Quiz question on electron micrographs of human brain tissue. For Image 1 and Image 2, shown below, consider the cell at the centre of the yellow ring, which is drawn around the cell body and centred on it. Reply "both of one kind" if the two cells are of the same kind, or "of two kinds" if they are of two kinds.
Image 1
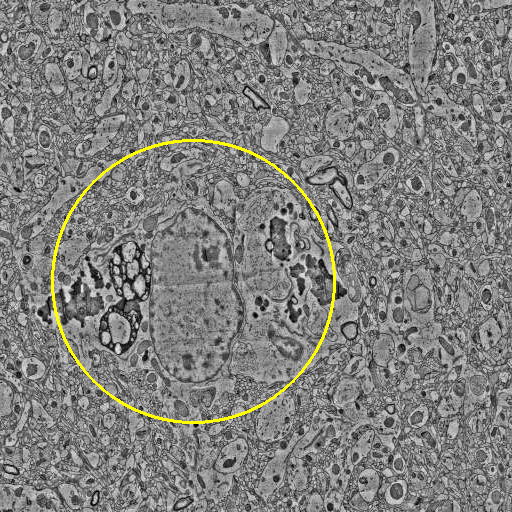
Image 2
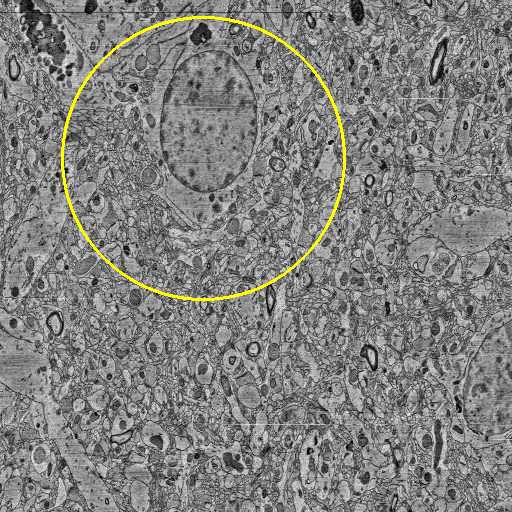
both of one kind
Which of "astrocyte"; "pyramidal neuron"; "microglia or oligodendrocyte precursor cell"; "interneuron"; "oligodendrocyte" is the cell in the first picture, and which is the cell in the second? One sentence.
Each of the ringed cells, first and second, is an astrocyte.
